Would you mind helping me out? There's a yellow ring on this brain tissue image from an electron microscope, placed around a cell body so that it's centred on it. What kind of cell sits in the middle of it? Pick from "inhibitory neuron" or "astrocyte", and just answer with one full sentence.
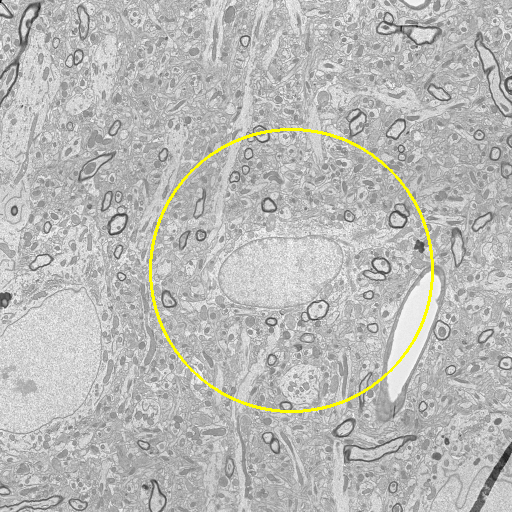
What sits in the middle of that yellow ring is an astrocyte, from your choices.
